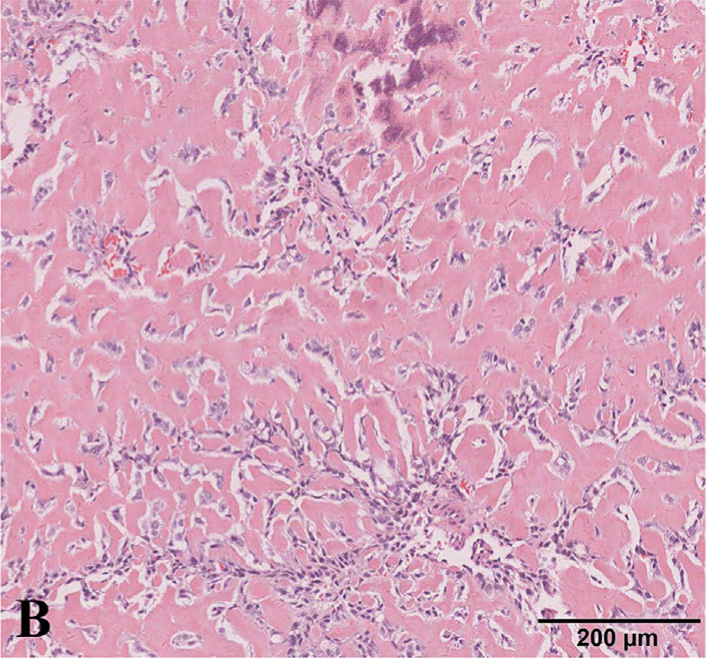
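Tumor cells with oval to elongated purple nuclei lie embedded in abundant homogeneous pink hyaline matrix. The cells sit in narrow, branching clefts of the matrix, singly, in thin strands, and in small nests or clusters where nuclei crowd together. A few red blood cells are seen in small spaces, and purple deposits appear at the top of the field.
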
